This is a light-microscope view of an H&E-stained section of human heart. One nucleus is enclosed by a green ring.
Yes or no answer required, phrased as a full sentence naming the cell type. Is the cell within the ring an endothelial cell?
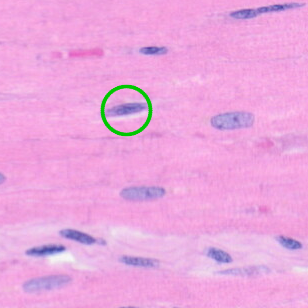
Yes, the cell type of the cell within the ring is that of an endothelial cell.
